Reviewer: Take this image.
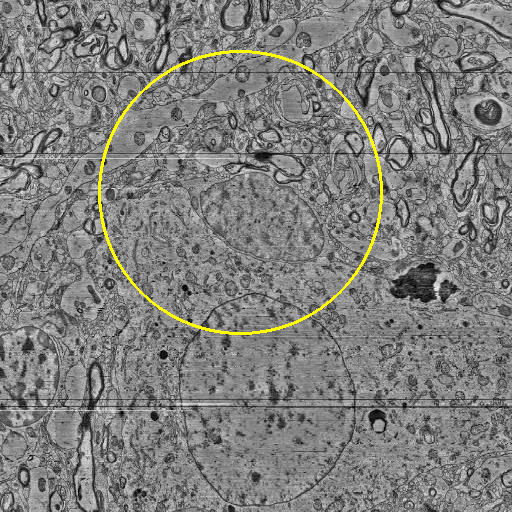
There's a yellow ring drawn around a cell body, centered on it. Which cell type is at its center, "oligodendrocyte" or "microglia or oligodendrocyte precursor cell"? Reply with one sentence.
At the center of the yellow ring is an oligodendrocyte.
